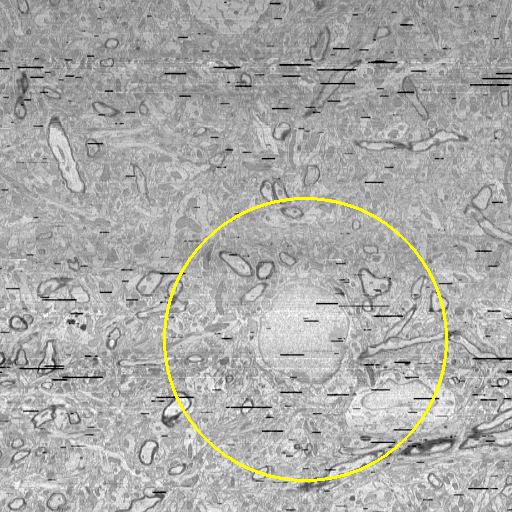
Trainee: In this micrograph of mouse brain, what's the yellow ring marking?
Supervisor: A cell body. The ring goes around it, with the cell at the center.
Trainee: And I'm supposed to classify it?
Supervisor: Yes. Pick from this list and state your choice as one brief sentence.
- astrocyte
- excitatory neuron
The cell at the ring's center is an astrocyte.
